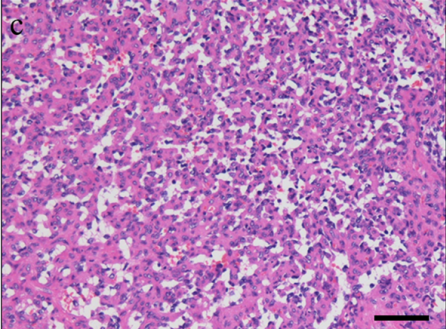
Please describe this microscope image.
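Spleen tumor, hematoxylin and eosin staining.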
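A lobule of the lesion is filled with densely packed cells and small spaces containing blood cells. Nuclei are oval to round and purple, set in pink cytoplasm. Numerous small clear and red-filled spaces are scattered throughout, giving a sieve-like pattern.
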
